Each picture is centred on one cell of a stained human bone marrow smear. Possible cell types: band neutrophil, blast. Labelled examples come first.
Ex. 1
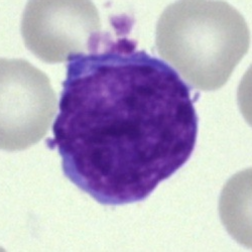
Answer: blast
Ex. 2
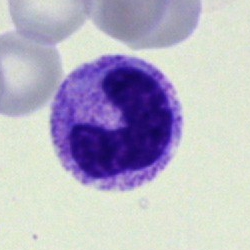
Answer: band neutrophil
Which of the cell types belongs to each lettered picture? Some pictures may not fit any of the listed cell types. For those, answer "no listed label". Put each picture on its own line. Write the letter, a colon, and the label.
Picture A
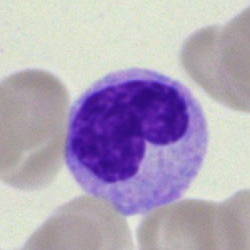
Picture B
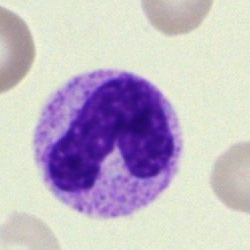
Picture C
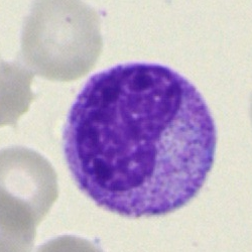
A: no listed label
B: band neutrophil
C: no listed label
